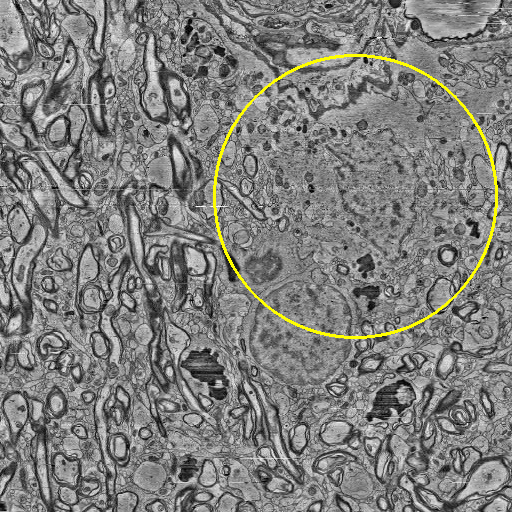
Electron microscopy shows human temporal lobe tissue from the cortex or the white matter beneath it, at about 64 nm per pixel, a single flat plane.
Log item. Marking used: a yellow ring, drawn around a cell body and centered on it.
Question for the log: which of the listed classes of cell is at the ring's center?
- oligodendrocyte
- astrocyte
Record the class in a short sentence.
At the center of the ring lies an astrocyte.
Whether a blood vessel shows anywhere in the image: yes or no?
Yes.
